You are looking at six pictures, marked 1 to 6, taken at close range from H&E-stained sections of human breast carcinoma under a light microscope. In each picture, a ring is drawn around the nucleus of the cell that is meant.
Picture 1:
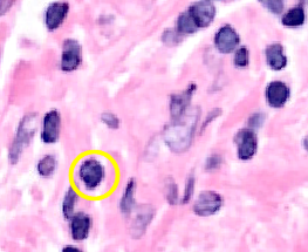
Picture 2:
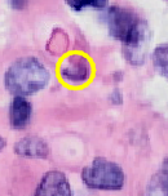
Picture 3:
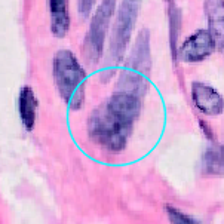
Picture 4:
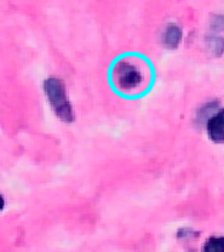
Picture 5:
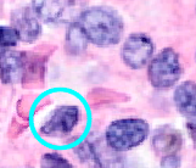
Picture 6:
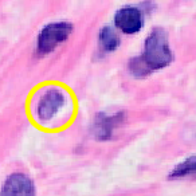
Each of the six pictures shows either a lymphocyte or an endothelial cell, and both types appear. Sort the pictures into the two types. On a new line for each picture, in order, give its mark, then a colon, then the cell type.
1: lymphocyte
2: endothelial cell
3: endothelial cell
4: lymphocyte
5: endothelial cell
6: lymphocyte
